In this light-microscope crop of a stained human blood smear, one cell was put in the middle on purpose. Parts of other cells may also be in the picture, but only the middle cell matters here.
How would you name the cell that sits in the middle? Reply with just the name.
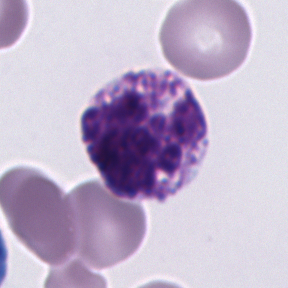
basophil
